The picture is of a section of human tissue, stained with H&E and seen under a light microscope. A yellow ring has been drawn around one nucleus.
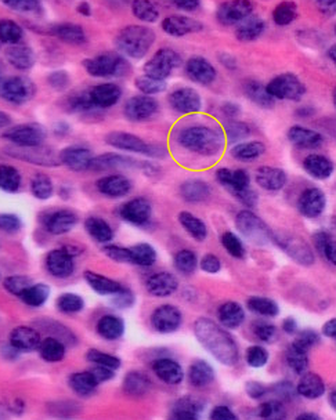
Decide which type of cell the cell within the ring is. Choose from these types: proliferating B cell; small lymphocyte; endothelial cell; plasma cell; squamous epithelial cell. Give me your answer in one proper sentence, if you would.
What the cell within the ring represents is an endothelial cell.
